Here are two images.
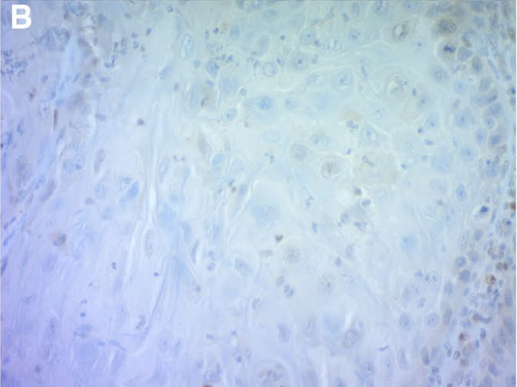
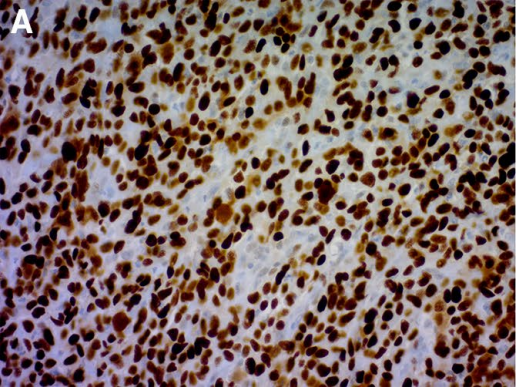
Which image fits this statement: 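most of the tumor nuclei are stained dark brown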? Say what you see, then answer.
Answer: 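The second image. Second image: densely packed nuclei are nearly all dark brown.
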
